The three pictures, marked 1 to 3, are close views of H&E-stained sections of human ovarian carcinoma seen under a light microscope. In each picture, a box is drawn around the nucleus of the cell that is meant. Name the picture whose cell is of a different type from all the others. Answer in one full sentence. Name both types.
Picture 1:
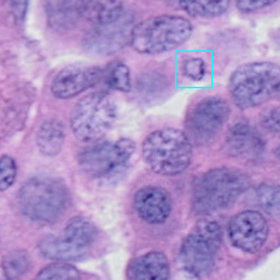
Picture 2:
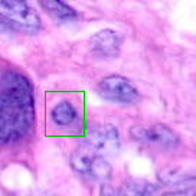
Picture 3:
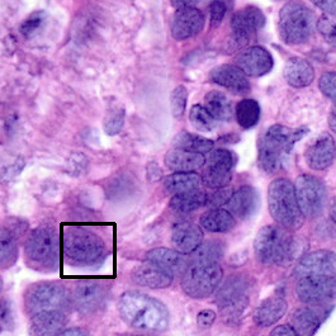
The different one is picture 3; it shows a carcinoma cell, whereas all the others show “macrophages or monocytes”.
